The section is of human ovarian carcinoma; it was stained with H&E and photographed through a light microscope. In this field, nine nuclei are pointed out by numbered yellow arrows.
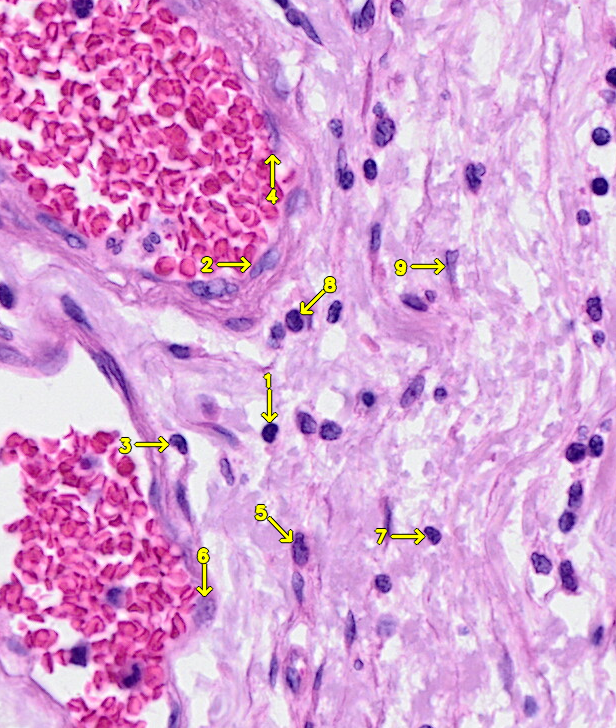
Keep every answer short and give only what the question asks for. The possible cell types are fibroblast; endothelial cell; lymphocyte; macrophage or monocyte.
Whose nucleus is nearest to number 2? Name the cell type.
endothelial cell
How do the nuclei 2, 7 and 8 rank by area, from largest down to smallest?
2, 8, 7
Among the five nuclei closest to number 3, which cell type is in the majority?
macrophage or monocyte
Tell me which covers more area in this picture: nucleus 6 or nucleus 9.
6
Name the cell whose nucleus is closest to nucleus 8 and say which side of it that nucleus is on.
a lymphocyte, below and to the left of nucleus 8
